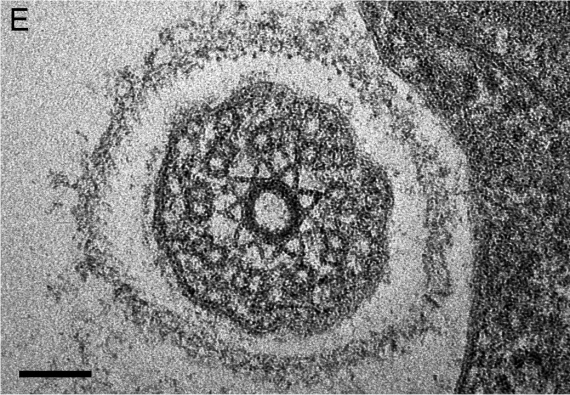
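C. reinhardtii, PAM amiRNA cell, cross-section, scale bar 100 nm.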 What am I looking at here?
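Here a cilium of a green alga is cut straight across at its transition zone, next to the cell body at the right. Nine paired microtubules, the outer doublets, form a ring. From them fine fibers run inward to a small central ring, making a star-shaped pattern. The ring of doublets is enclosed by the ciliary membrane, and the space between the doublets and the membrane is filled with dense granular material. Outside the membrane lies a pale clear zone and then a fuzzy, fibrous outer coat encircling the whole profile.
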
